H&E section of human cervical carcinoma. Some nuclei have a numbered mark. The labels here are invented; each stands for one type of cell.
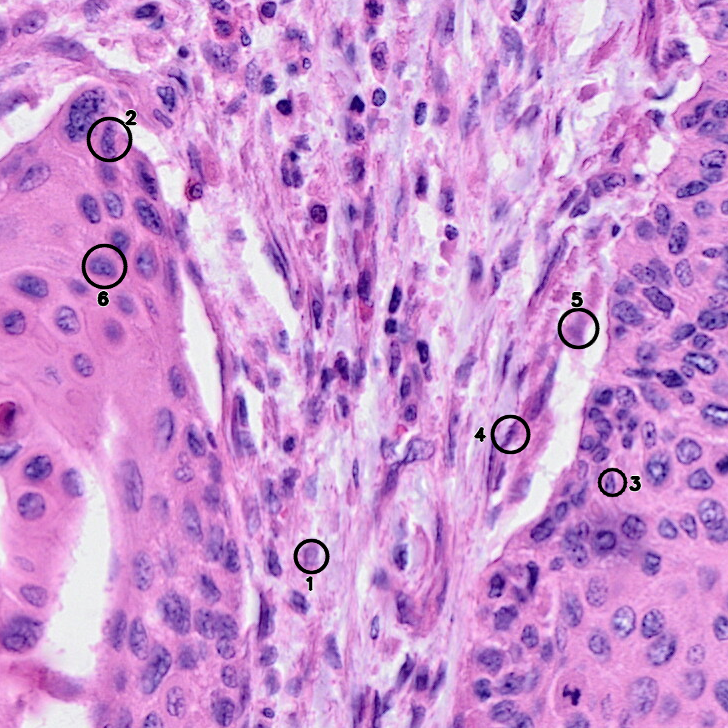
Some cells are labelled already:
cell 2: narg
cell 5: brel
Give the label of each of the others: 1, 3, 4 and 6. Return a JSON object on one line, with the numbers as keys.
{"1": "brel", "3": "narg", "4": "brel", "6": "narg"}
